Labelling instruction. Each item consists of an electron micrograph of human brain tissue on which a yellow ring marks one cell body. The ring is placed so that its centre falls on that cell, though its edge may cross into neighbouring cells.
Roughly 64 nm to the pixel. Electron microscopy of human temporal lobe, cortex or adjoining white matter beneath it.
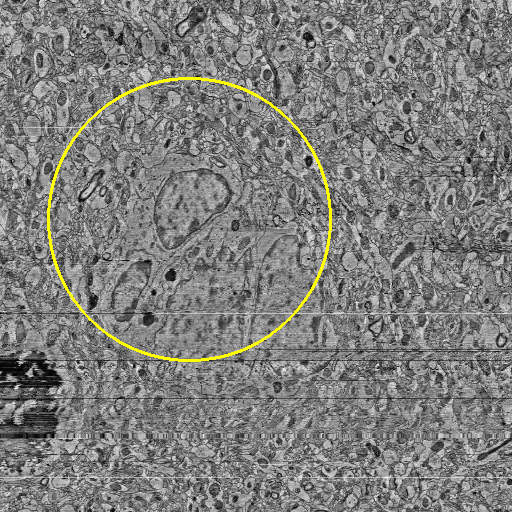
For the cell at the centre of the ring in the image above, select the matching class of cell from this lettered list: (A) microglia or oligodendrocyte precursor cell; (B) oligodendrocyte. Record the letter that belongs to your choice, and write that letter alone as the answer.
A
